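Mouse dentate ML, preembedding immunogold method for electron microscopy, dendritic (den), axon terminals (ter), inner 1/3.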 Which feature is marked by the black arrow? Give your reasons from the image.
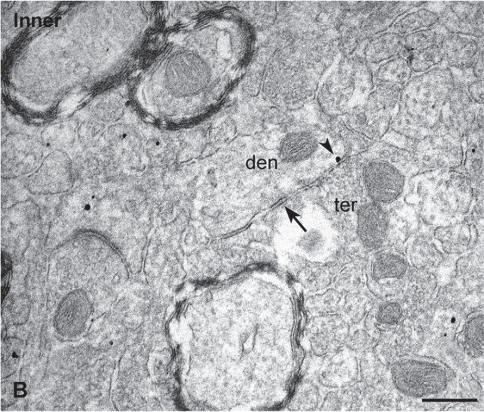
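Symmetric synapses. The arrow points at a straight stretch of apposed membranes between a terminal profile and a dendritic profile. The terminal side contains small vesicles. No thick dark density lines the dendritic side of the contact.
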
